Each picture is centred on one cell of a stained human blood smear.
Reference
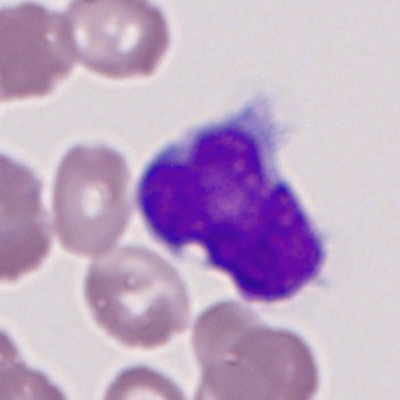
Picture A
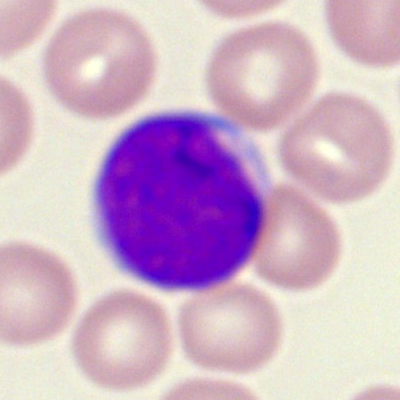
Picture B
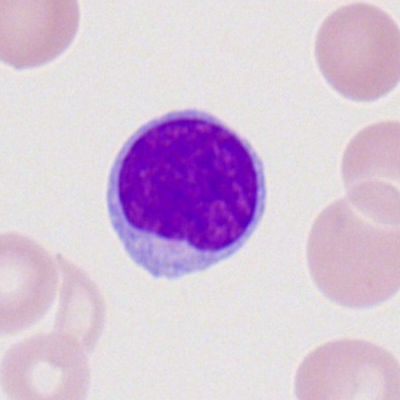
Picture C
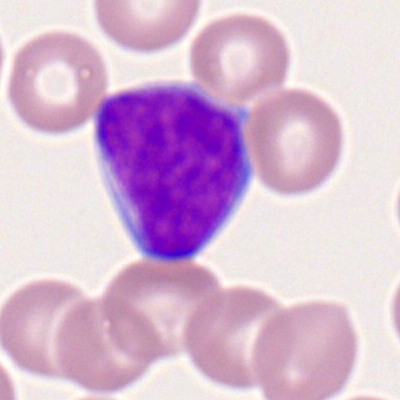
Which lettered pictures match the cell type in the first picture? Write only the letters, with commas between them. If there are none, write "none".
B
